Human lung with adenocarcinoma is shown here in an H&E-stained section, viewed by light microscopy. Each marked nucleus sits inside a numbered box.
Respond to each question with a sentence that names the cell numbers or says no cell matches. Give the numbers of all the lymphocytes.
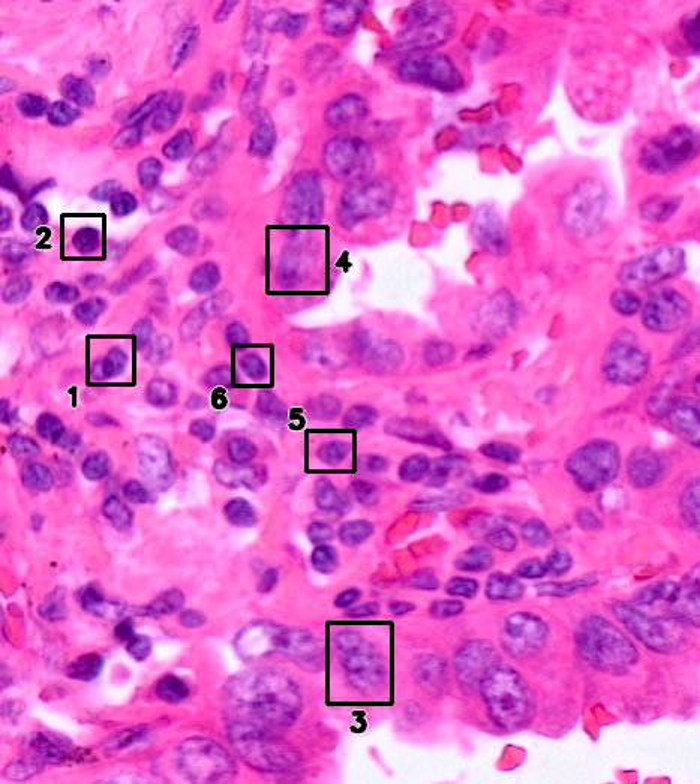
The cells the numbers 1, 2, 5 and 6 point to are lymphocytes.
